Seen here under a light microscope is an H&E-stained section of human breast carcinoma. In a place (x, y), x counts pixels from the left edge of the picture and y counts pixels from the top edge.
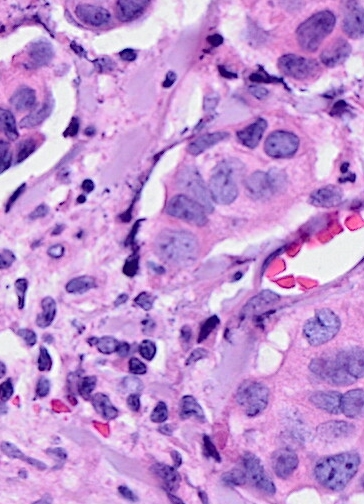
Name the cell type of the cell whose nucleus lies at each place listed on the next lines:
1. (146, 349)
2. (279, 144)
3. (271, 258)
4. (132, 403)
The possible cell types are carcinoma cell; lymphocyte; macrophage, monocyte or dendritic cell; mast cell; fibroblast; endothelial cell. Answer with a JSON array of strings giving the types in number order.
["lymphocyte", "carcinoma cell", "endothelial cell", "lymphocyte"]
